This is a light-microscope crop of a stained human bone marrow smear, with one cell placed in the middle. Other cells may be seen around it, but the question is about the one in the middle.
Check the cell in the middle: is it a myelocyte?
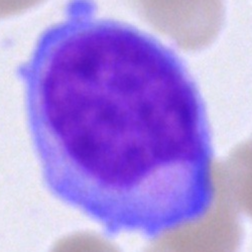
no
